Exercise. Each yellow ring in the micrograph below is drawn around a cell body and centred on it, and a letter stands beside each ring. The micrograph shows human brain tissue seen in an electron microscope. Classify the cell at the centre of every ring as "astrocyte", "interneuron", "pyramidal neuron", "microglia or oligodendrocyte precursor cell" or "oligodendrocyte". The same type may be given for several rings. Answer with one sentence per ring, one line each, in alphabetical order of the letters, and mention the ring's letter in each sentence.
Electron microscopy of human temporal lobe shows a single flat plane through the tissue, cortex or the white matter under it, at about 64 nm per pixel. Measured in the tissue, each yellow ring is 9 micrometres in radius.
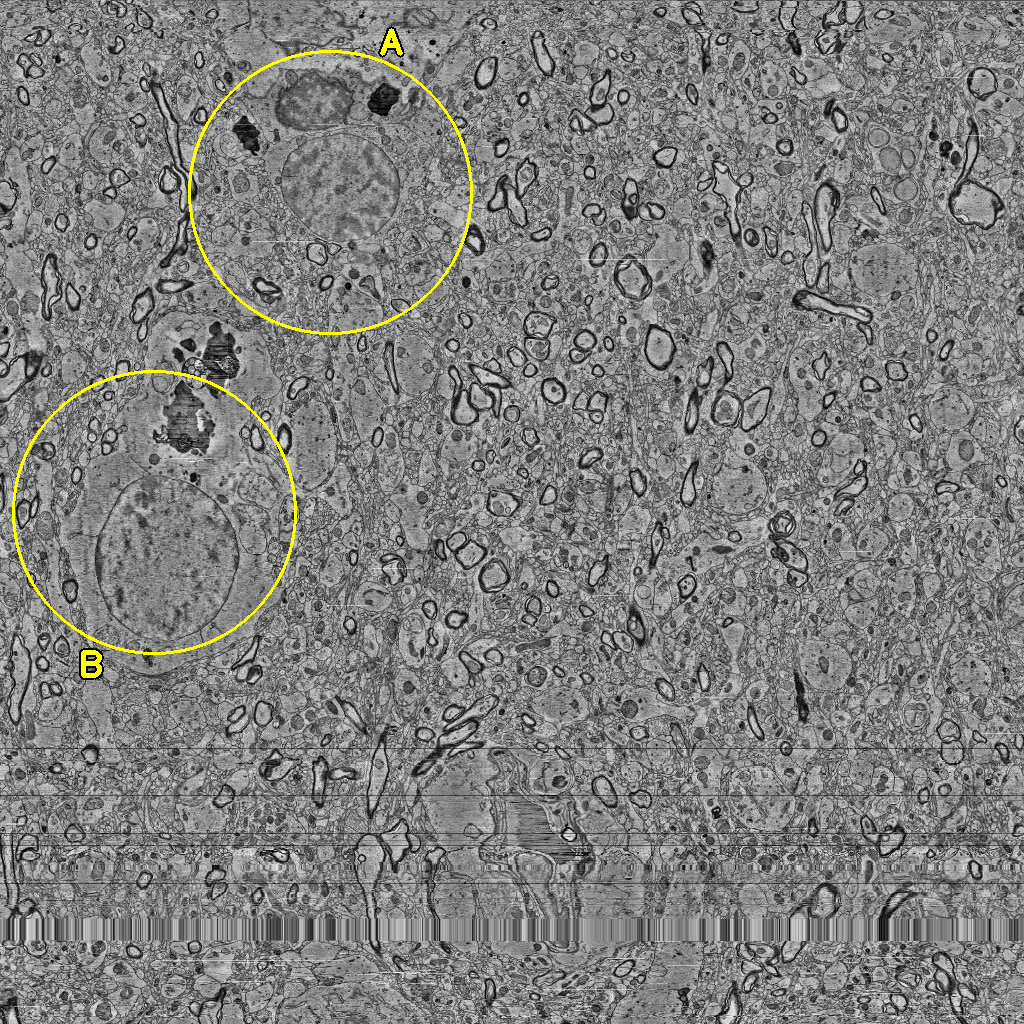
In ring A, the central cell is an oligodendrocyte.
In ring B, the central cell is an astrocyte.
